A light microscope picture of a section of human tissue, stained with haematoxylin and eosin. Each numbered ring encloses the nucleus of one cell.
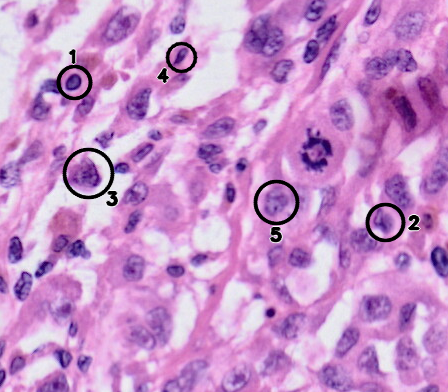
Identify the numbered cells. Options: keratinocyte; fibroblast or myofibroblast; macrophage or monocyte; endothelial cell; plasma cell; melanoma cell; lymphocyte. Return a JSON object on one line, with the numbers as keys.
{"1": "lymphocyte", "2": "melanoma cell", "3": "melanoma cell", "4": "macrophage or monocyte", "5": "melanoma cell"}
